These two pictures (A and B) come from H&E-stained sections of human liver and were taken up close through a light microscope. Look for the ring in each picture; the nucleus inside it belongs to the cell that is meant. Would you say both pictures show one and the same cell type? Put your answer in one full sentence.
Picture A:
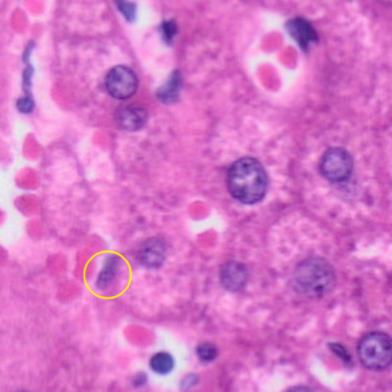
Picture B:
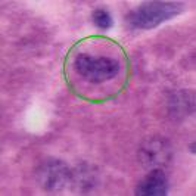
No, they differ: the cell is an endothelial cell in picture A and a “fibroblast or stellate cell” in picture B.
